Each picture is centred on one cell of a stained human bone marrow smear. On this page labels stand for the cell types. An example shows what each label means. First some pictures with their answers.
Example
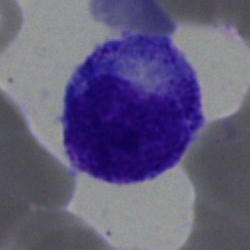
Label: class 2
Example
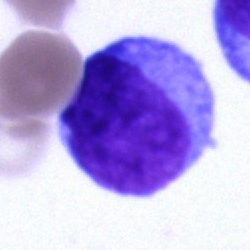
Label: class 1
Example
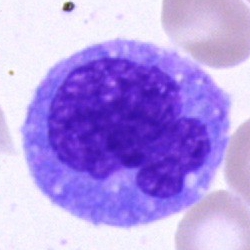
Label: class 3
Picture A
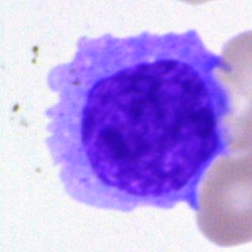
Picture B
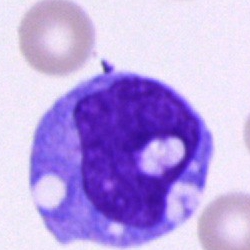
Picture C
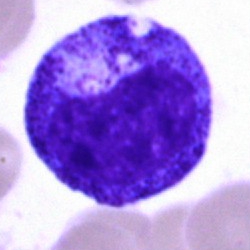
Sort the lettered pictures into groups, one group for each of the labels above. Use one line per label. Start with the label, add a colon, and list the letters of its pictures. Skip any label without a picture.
class 2: C
class 3: A, B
